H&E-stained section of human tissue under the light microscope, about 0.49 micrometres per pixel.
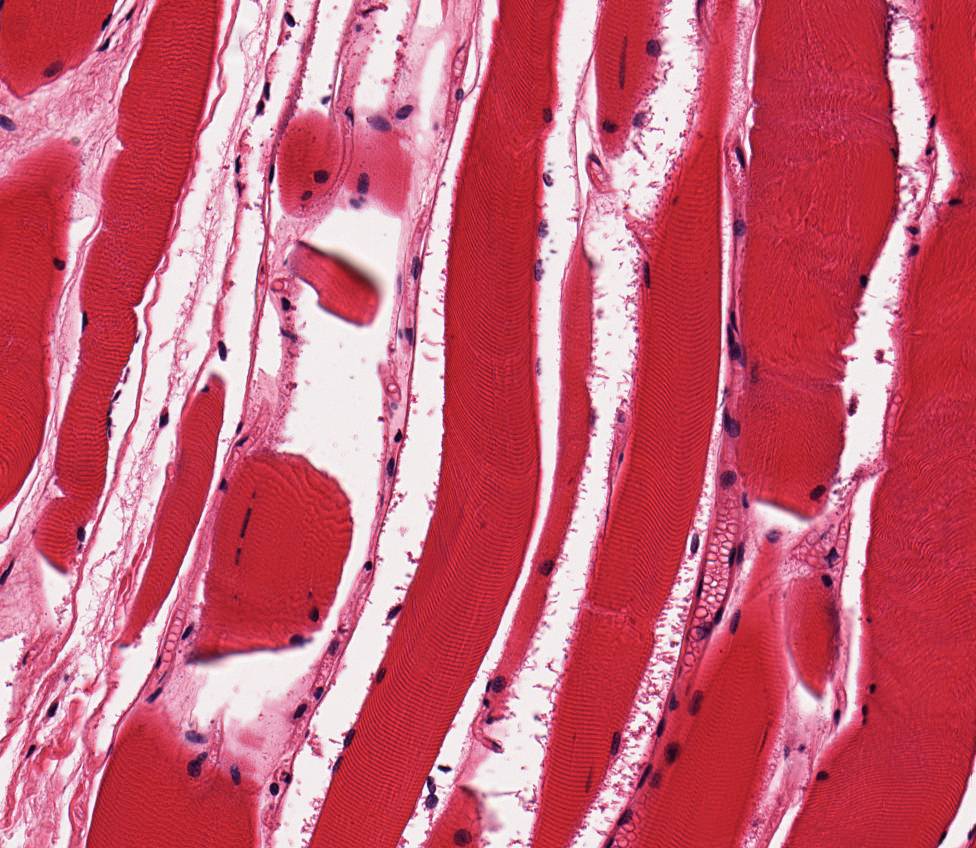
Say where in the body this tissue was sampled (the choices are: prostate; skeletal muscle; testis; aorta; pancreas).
skeletal muscle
